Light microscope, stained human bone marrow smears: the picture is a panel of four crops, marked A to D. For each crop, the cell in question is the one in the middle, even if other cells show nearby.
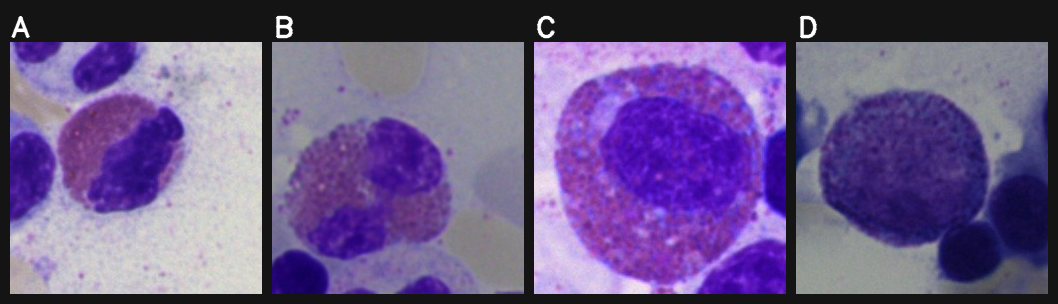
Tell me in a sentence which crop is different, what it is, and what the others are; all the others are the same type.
Seen in crop D is a promyelocyte, and seen in all other crops are eosinophils.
